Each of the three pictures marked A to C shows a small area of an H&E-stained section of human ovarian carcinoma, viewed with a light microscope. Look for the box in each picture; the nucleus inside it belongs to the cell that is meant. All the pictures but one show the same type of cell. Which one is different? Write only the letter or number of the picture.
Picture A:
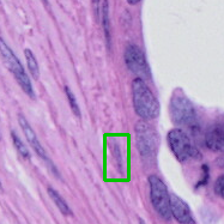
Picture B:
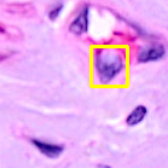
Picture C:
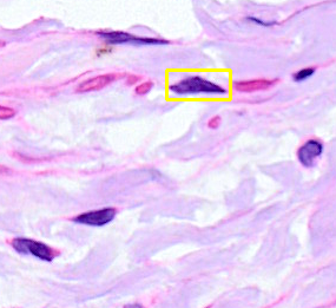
B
